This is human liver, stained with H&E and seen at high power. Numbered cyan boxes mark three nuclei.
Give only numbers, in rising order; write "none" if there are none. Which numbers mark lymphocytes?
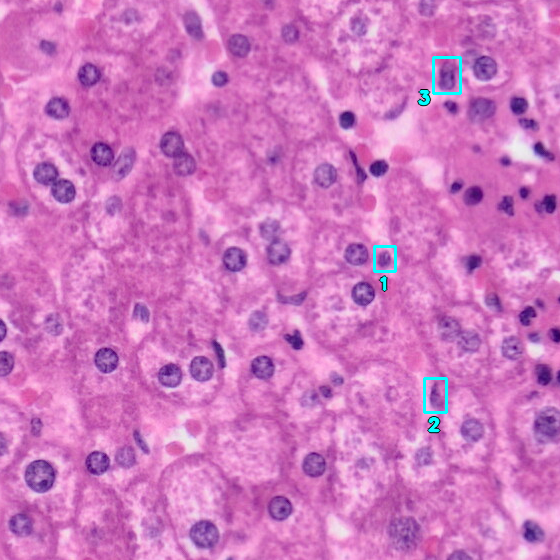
1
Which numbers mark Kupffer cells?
3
